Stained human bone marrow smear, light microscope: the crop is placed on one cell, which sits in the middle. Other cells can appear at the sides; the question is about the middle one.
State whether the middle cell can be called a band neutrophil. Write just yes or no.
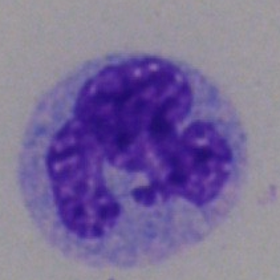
no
